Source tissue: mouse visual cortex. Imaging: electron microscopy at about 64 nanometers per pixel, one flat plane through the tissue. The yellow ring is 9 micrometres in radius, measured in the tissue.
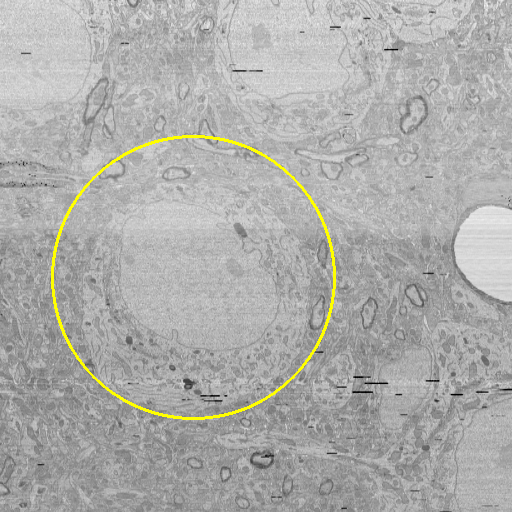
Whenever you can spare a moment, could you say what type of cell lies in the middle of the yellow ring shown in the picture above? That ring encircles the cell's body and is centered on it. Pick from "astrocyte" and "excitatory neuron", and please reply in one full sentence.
The cell whose body sits at the middle of the yellow ring is an excitatory neuron.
